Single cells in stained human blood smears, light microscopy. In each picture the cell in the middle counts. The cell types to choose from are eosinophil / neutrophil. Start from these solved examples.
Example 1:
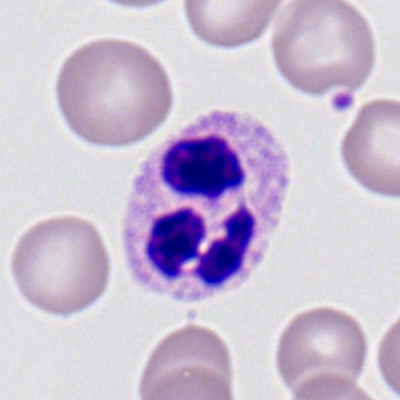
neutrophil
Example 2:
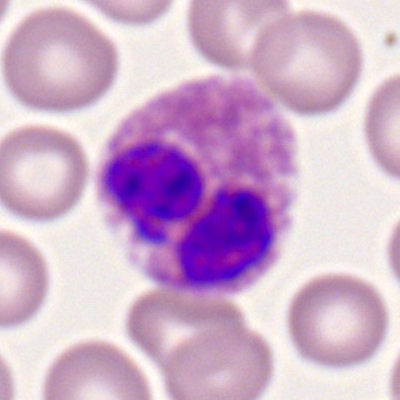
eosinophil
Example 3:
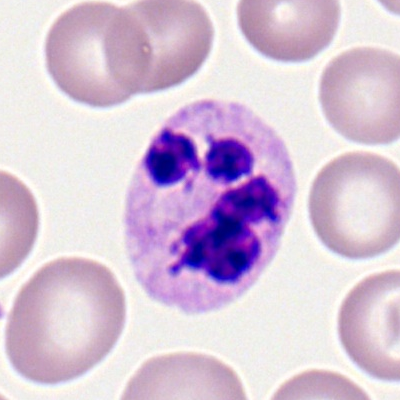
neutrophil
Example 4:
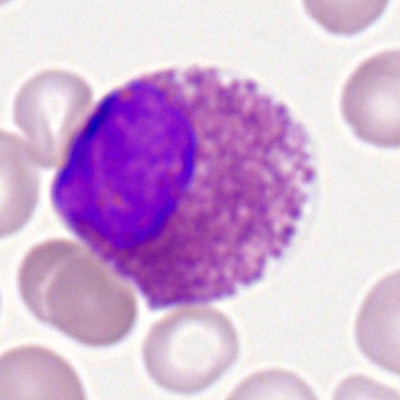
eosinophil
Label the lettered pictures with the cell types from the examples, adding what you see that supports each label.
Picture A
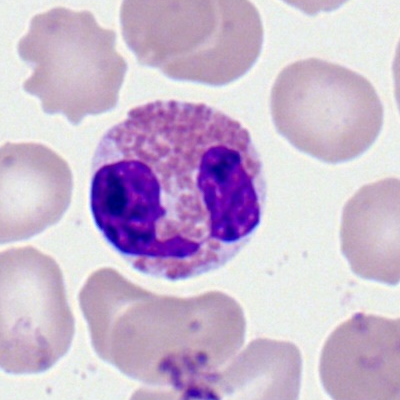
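eosinophil: The granules are coarse and roughly even in size.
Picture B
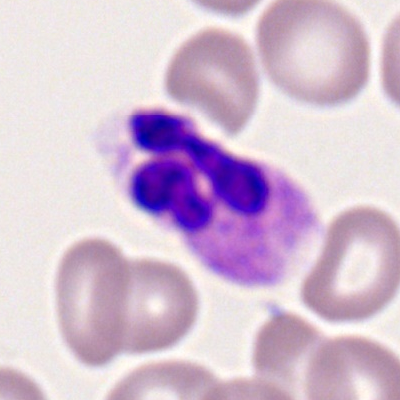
neutrophil: The cytoplasm contains fine pinkish-purple granules.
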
